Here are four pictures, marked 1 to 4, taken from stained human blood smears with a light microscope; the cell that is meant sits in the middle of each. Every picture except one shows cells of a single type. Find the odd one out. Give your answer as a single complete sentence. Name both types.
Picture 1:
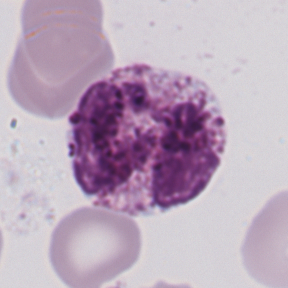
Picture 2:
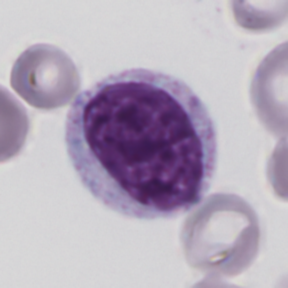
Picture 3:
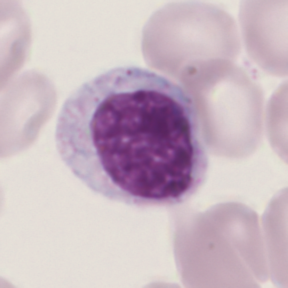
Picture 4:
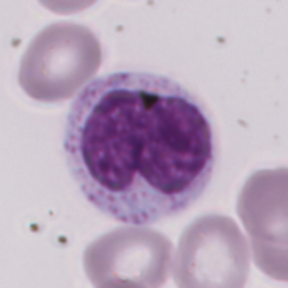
Picture 1 differs, because its cell is a basophil and the rest are metamyelocytes.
